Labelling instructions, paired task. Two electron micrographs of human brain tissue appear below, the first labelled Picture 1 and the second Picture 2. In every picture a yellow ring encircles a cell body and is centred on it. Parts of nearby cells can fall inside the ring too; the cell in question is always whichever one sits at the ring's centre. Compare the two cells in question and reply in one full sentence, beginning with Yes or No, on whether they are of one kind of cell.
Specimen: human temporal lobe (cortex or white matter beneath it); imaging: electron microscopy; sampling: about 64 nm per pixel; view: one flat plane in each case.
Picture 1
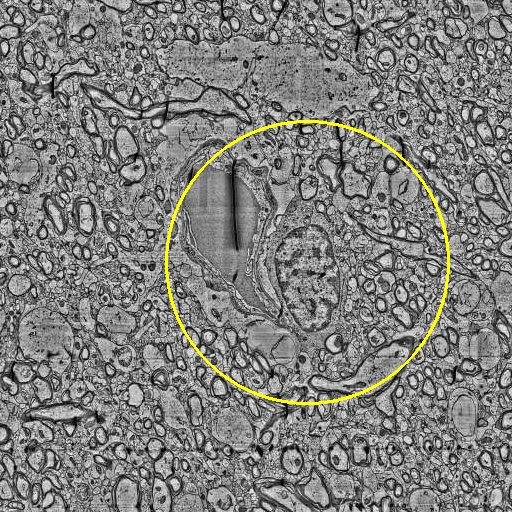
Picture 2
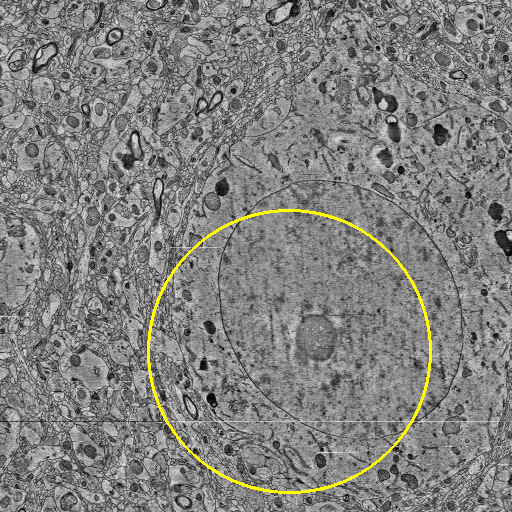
No, the two cells at the ring centres in Picture 1 and Picture 2 are of two kinds.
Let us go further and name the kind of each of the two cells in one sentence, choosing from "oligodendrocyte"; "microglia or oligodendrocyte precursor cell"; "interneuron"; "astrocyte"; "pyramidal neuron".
The ring of the first picture is on an oligodendrocyte, the ring of the second on a pyramidal neuron.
